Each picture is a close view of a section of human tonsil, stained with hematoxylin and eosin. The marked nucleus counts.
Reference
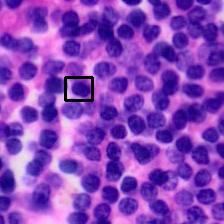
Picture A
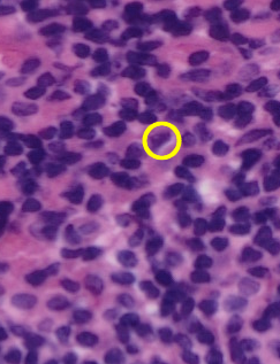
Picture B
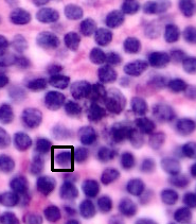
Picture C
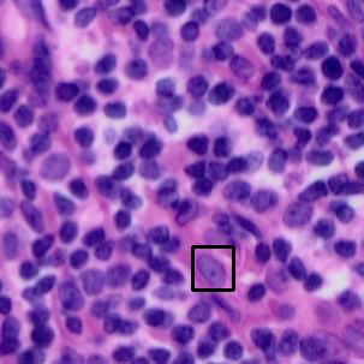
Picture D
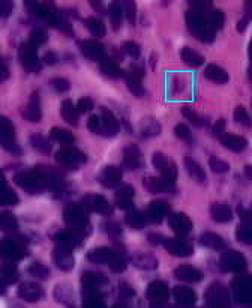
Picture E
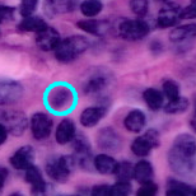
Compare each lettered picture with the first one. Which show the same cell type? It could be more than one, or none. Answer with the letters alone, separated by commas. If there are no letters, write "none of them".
B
